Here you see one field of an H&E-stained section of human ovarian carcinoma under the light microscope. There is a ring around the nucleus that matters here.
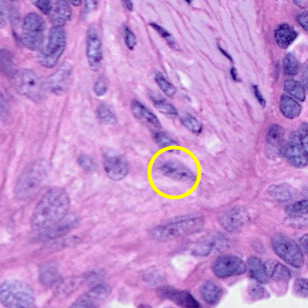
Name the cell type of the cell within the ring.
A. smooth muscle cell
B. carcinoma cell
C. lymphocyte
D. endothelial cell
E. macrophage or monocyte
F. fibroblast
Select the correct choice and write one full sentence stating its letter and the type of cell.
Option F names it right: the cell within the ring is a fibroblast.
